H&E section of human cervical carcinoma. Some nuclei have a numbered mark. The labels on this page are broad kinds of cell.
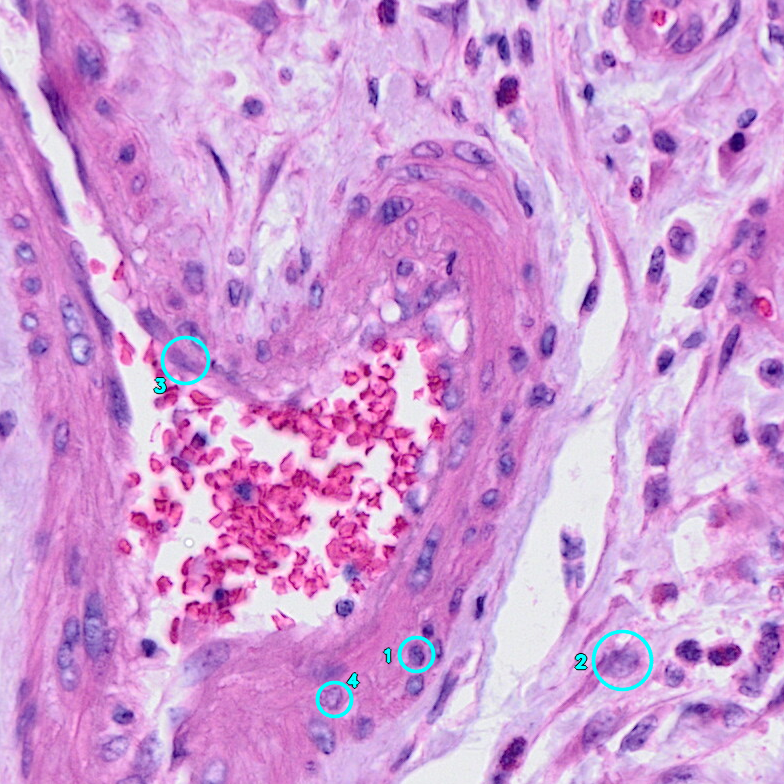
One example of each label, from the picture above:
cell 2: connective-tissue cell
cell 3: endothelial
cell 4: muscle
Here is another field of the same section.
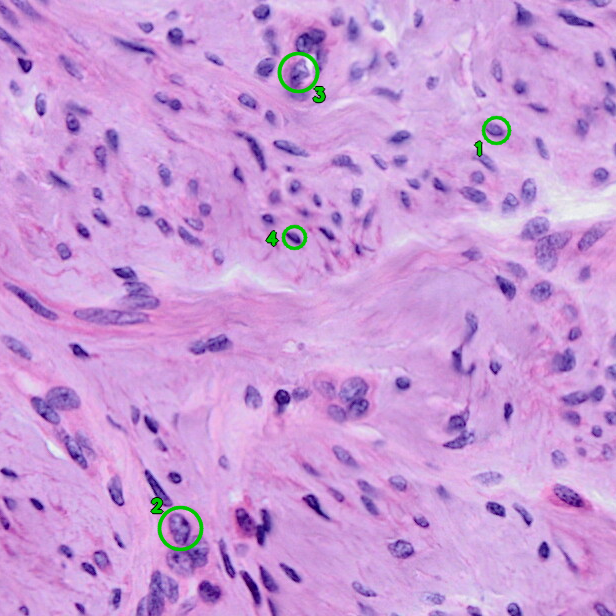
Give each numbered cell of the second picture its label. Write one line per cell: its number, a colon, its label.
1: muscle
2: endothelial
3: endothelial
4: connective-tissue cell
